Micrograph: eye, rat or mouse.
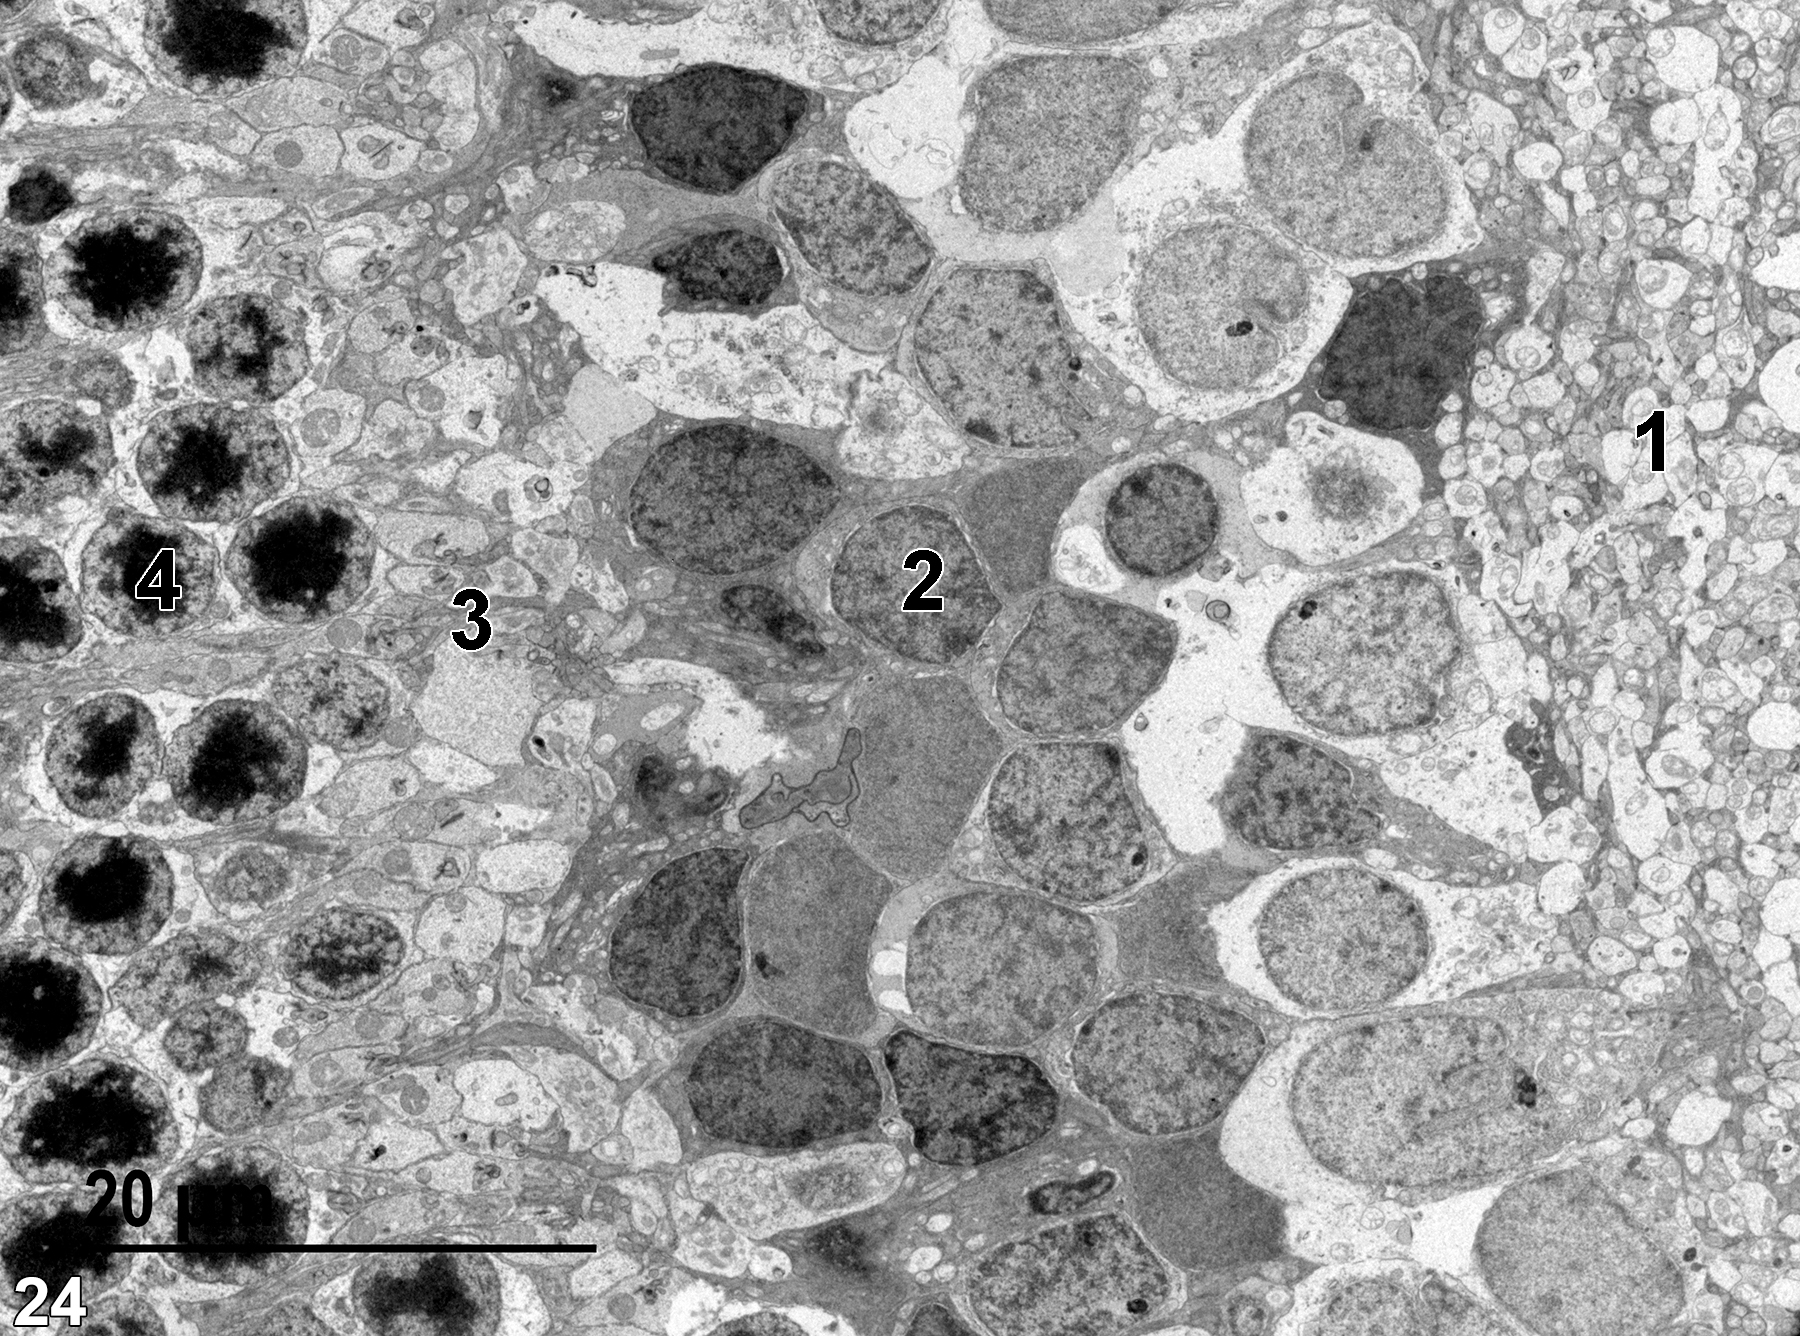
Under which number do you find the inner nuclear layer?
Number 2.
